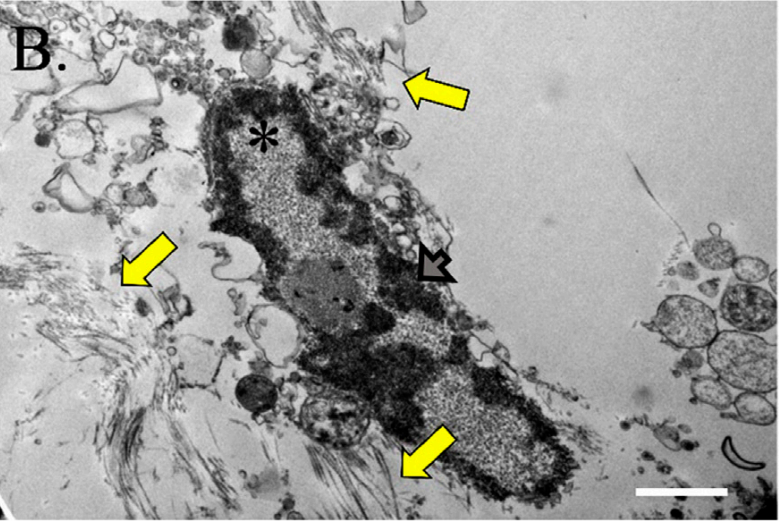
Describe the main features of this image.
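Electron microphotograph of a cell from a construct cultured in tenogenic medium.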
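An elongated cell is seen, almost wholly occupied by its nucleus, with only a thin rim of cytoplasm. Dense, dark heterochromatin forms thick clumps along the inner margin of the nucleus, while its centre is paler and granular, with a rounded grey body lying within it. Around the cell the extracellular space holds bundles of fine parallel fibrils, together with scattered membranous fragments and vesicles. The cell outline is narrow and spindle-like.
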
